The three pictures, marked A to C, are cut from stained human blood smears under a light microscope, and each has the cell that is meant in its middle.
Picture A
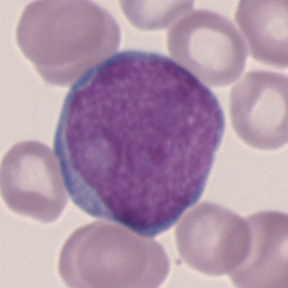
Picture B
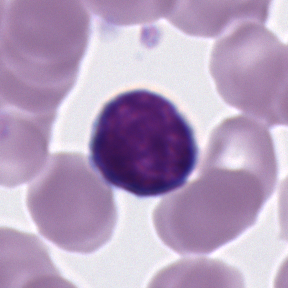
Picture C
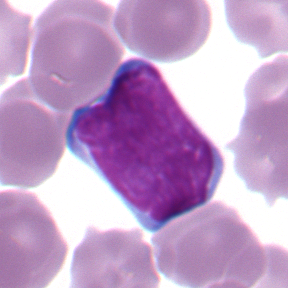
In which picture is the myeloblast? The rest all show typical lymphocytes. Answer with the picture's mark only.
A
